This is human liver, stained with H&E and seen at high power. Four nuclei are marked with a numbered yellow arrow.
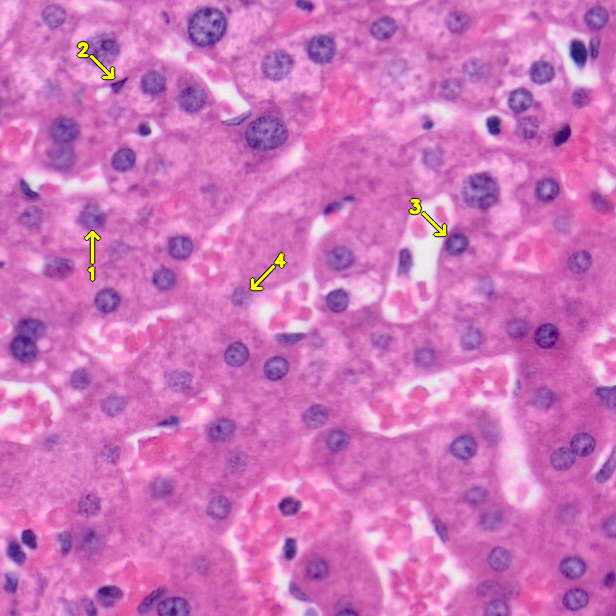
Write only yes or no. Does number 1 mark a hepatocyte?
yes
